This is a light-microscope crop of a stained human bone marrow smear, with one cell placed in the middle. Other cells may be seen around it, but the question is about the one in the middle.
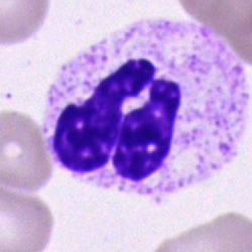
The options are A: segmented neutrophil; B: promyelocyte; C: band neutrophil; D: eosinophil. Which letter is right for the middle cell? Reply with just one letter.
A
